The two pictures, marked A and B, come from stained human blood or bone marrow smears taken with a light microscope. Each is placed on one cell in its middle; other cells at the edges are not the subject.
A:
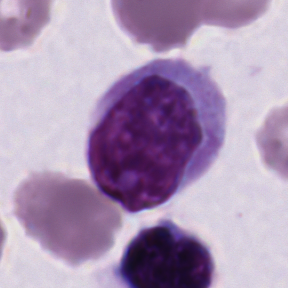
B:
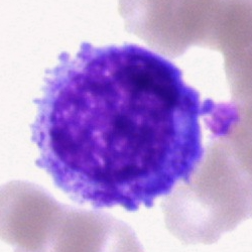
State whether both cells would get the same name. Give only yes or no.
no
